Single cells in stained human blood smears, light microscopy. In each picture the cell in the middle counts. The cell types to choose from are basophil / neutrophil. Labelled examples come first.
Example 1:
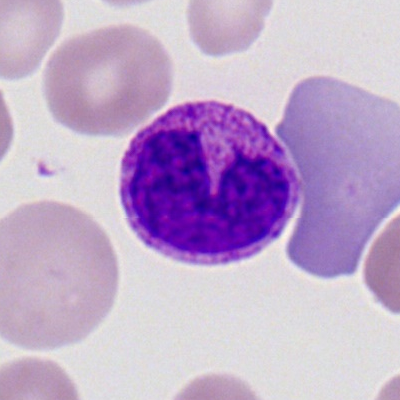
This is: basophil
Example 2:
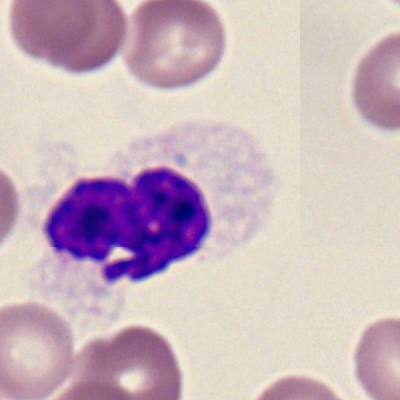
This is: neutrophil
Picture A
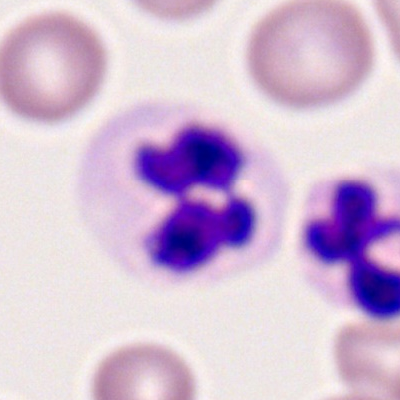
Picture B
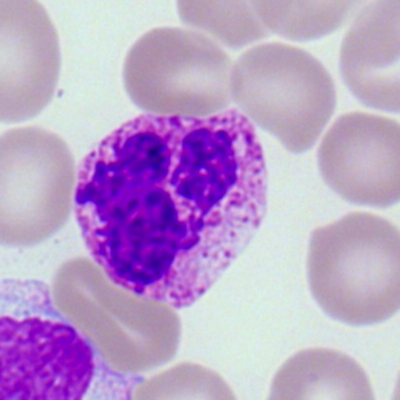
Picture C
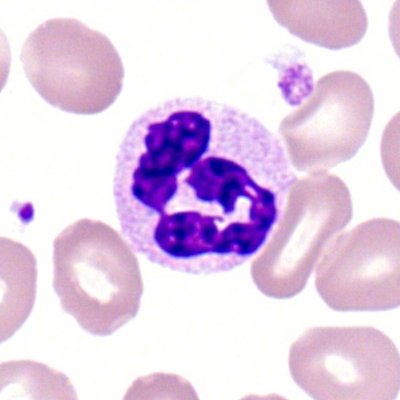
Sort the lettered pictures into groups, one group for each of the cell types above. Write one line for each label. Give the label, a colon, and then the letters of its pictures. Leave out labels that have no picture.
basophil: B
neutrophil: A, C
